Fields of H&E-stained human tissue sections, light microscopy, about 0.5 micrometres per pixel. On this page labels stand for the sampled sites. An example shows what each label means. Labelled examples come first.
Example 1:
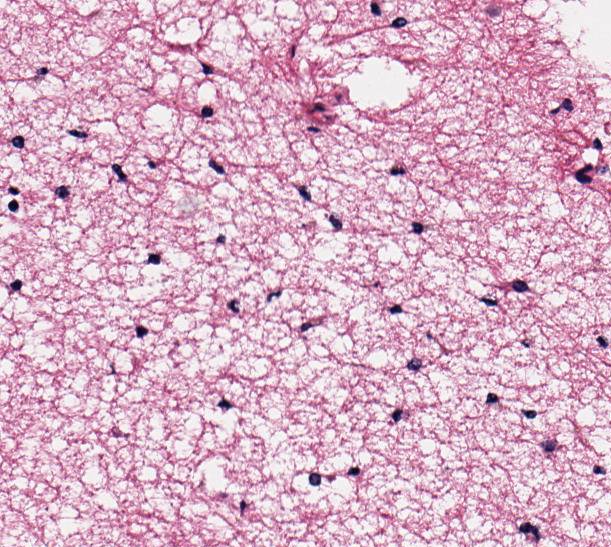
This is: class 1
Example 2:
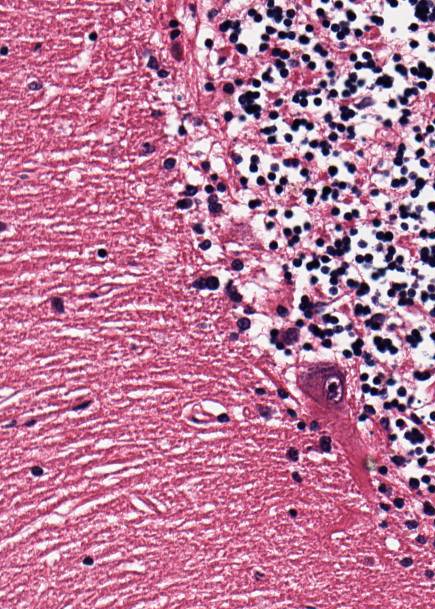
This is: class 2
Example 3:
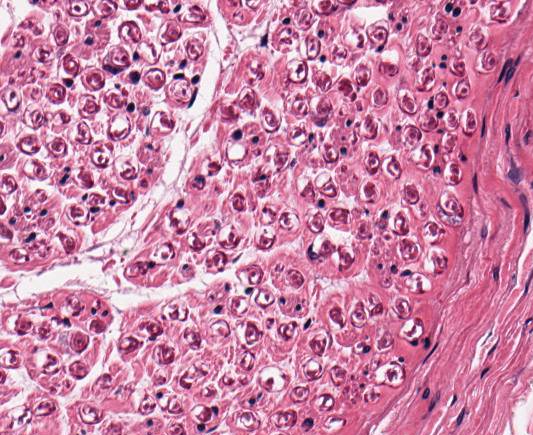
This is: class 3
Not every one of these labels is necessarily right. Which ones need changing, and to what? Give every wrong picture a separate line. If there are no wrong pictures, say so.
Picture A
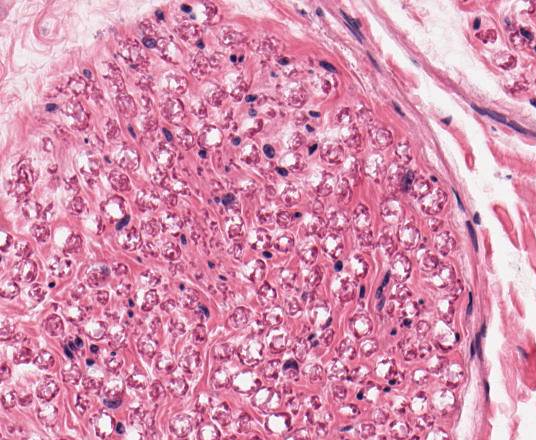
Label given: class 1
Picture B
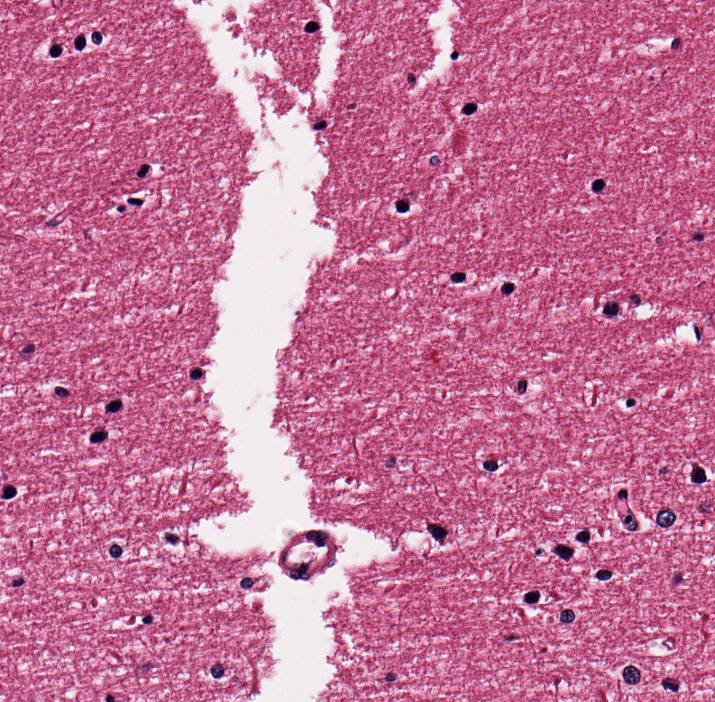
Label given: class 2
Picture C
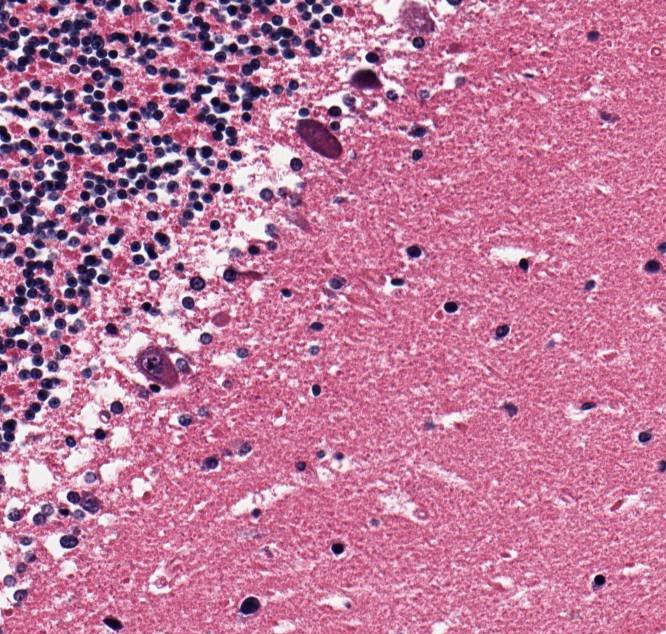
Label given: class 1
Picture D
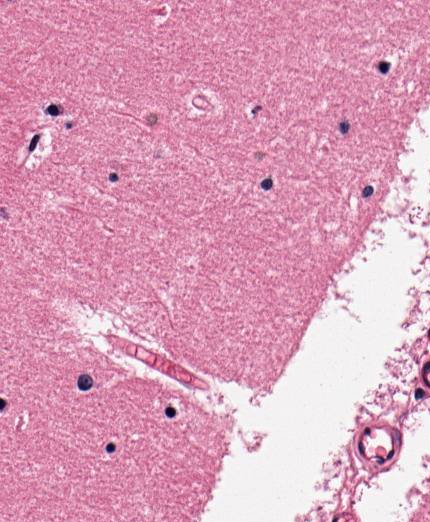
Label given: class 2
Wrong: A (class 1); correct: class 3
Wrong: C (class 1); correct: class 2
